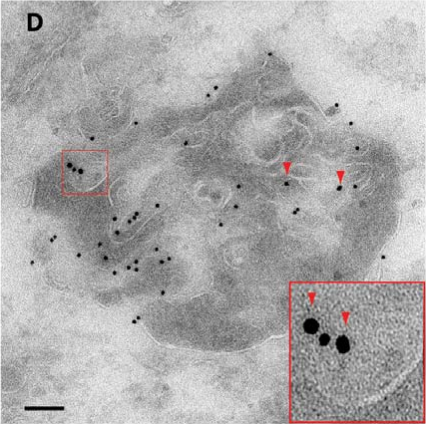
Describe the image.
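Within and along its edges lie many thin, pale membrane profiles: short tubules, curved cisternae and small round vesicles, giving it a tubulovesicular texture. Black round gold particles of two sizes are scattered over the compartment, often in small groups, with the larger particles marked by red arrowheads. The enlarged inset shows a small cluster where large and small particles sit side by side next to a curved membrane.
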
